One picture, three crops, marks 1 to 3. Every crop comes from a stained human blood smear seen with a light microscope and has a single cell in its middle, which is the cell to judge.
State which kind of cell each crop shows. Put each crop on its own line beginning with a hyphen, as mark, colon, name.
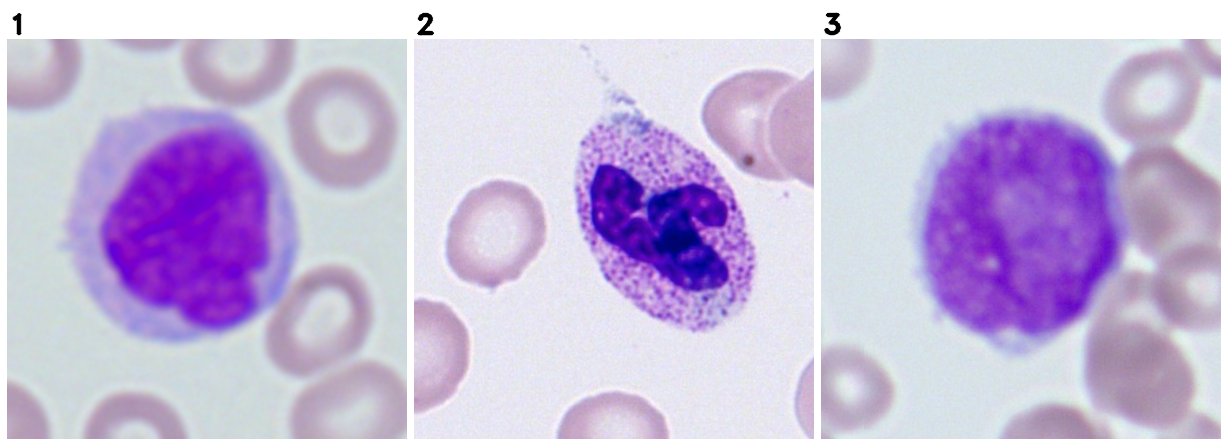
- 1: monocyte
- 2: segmented neutrophil
- 3: monocyte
